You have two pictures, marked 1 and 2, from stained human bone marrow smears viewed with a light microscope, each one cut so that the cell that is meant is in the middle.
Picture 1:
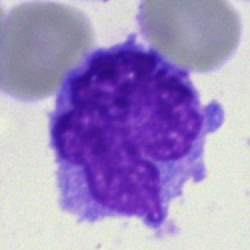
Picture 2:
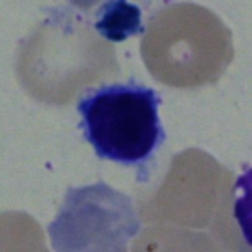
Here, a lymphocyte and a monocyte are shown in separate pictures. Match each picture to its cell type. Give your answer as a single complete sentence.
The cell in picture 1 is a monocyte, and the one in picture 2 is a lymphocyte.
